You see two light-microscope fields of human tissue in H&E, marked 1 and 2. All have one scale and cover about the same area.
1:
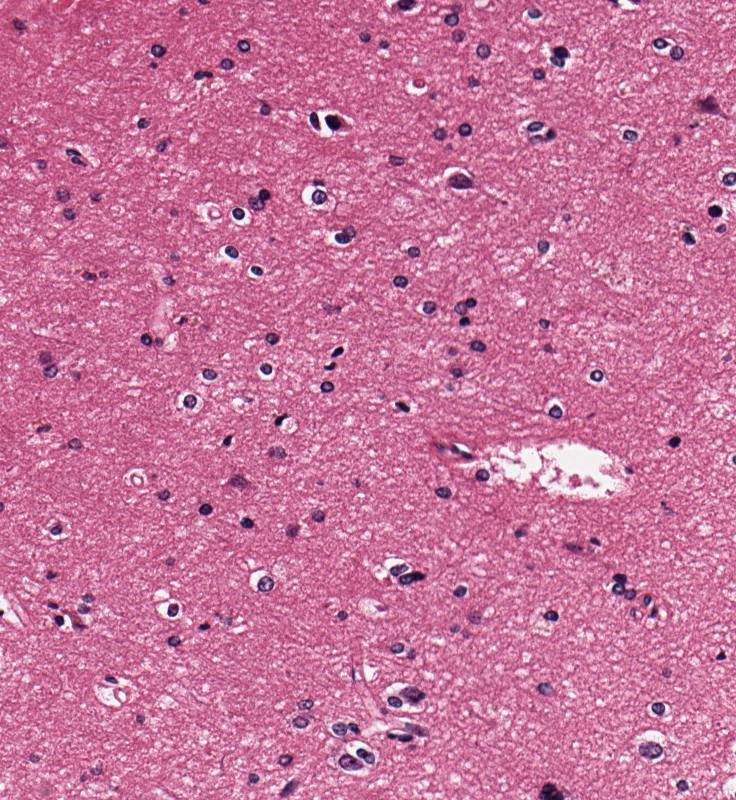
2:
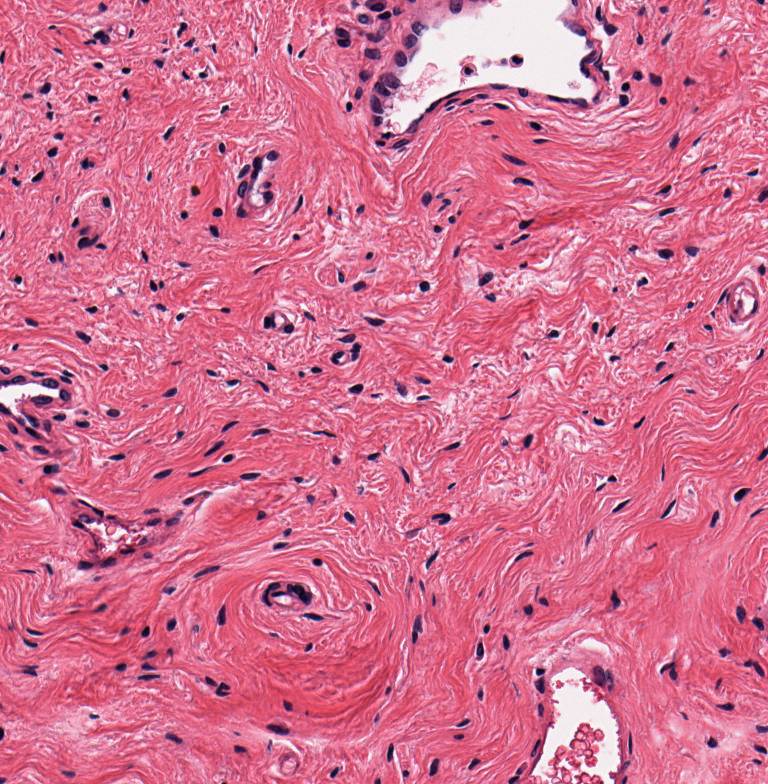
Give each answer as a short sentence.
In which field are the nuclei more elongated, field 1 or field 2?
It is field 2 whose nuclei are the more elongated.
